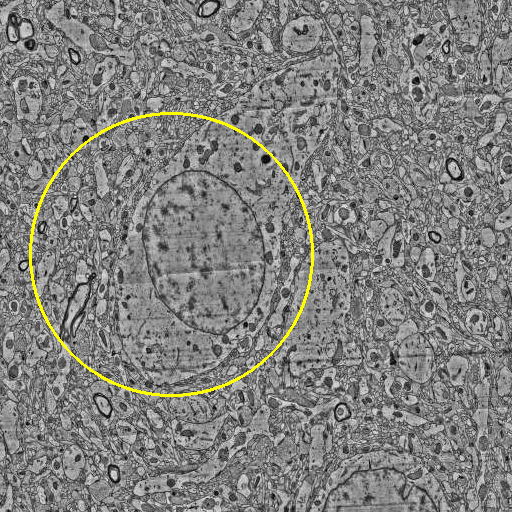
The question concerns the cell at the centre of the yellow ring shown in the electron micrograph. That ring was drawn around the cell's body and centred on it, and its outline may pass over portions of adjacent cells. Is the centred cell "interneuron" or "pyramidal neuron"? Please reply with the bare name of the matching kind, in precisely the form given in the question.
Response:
pyramidal neuron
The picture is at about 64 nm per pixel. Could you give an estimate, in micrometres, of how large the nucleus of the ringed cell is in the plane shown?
In this plane, roughly 11 by 8 micrometres.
